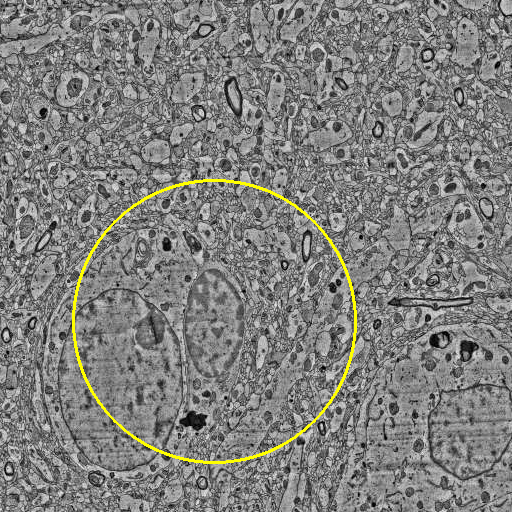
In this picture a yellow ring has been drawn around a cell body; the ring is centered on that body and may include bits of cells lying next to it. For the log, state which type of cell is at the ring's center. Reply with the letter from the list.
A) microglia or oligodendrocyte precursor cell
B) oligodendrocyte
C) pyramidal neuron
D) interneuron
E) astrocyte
B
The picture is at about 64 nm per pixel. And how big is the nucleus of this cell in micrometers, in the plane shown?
In this plane, approximately 7 by 4 micrometers, and clearly longer than it is wide.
